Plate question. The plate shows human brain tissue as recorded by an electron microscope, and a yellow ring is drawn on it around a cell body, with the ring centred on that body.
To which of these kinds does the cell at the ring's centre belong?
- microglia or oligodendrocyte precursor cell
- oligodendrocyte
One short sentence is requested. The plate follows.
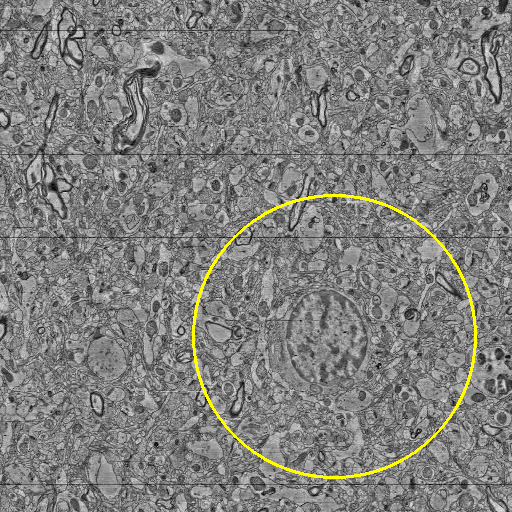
The cell at the ring's centre is an oligodendrocyte.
